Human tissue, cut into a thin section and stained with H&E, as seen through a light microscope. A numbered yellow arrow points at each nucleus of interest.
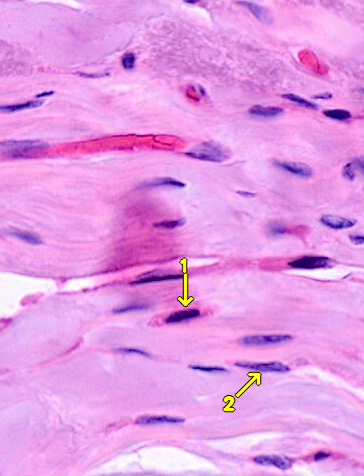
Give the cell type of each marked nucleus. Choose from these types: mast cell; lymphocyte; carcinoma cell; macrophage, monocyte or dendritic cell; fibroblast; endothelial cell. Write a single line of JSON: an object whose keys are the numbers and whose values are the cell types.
{"1": "mast cell", "2": "fibroblast"}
